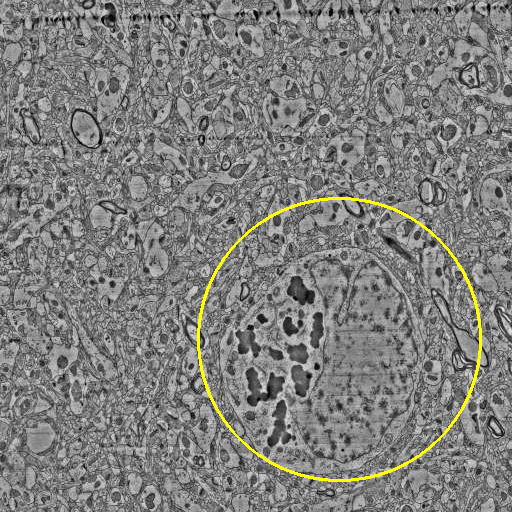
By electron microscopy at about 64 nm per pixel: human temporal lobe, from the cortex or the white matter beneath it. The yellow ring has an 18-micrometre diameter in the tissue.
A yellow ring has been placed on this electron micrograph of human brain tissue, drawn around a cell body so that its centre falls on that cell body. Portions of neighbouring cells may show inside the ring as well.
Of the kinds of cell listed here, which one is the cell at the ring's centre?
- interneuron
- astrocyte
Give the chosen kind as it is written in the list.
interneuron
